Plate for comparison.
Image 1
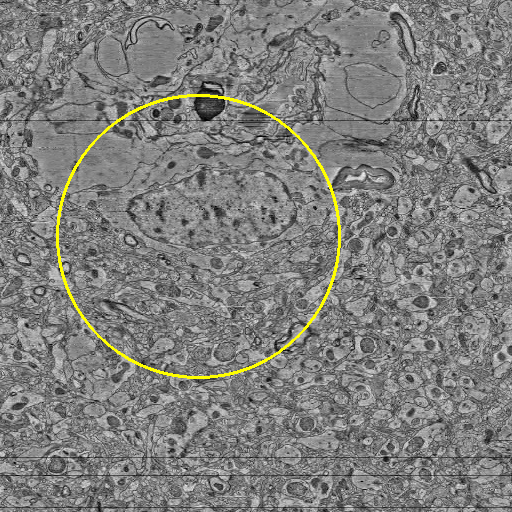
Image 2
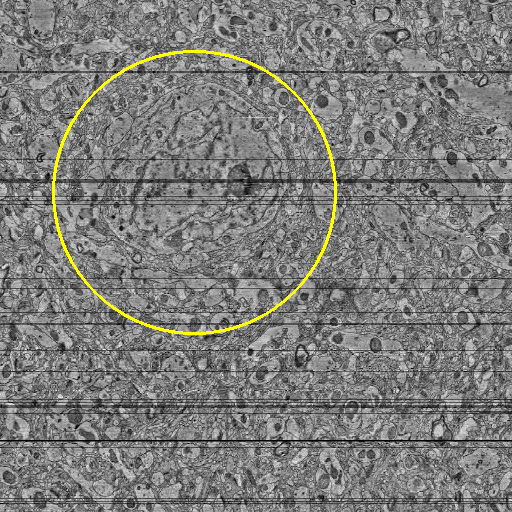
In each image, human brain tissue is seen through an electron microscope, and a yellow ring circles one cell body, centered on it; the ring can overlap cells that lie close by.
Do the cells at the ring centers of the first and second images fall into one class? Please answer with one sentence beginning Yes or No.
No, the first and second images show two classes of cell at the ring centers.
